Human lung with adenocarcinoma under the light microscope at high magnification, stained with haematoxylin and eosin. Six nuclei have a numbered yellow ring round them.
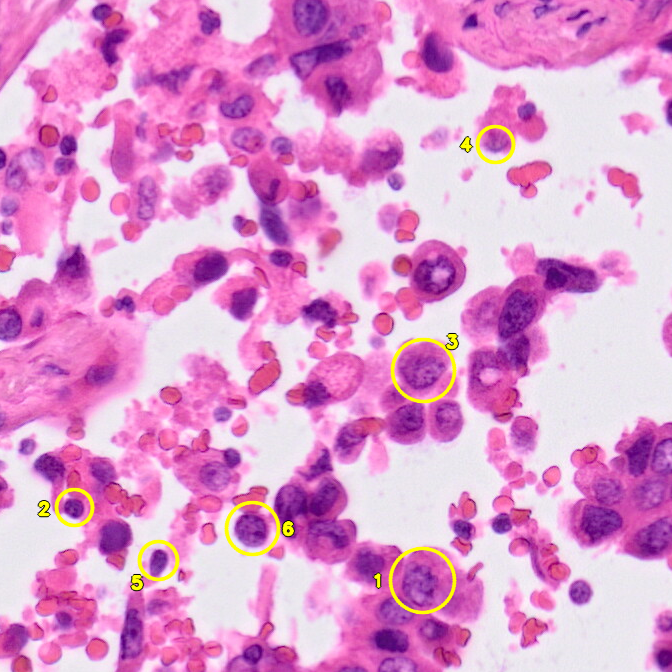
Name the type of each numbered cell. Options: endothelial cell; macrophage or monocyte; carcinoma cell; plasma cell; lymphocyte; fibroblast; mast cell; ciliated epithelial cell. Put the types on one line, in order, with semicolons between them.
carcinoma cell; lymphocyte; carcinoma cell; macrophage or monocyte; lymphocyte; carcinoma cell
